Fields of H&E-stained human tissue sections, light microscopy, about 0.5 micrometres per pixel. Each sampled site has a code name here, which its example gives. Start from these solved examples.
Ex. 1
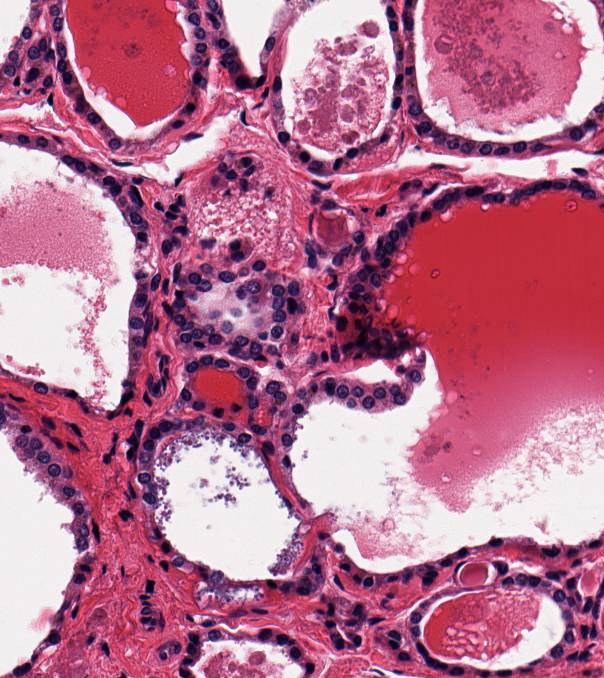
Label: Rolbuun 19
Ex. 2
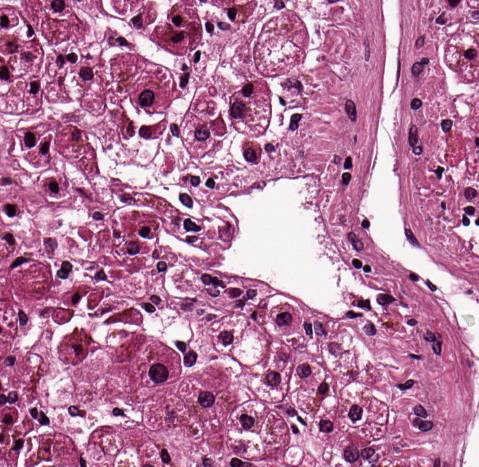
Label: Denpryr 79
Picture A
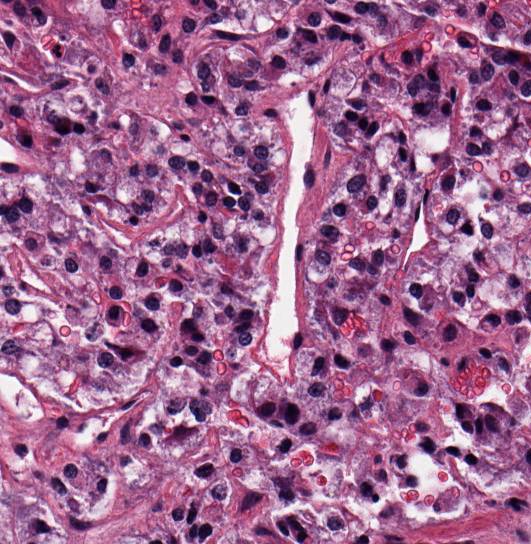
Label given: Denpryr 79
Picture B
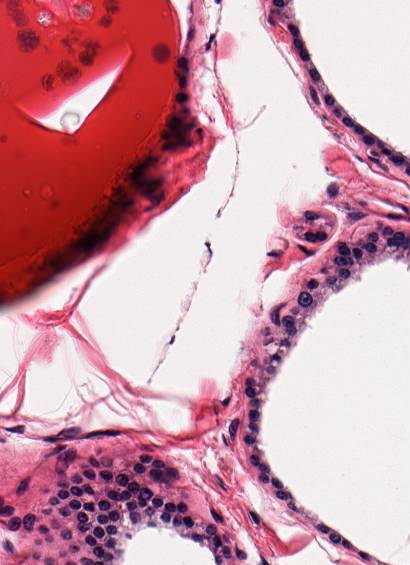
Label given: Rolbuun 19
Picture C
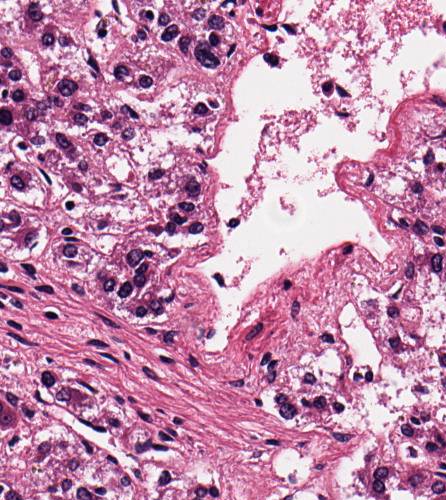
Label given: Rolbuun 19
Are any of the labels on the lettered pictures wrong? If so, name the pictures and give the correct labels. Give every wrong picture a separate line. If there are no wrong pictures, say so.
C is labelled Rolbuun 19; correct label: Denpryr 79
